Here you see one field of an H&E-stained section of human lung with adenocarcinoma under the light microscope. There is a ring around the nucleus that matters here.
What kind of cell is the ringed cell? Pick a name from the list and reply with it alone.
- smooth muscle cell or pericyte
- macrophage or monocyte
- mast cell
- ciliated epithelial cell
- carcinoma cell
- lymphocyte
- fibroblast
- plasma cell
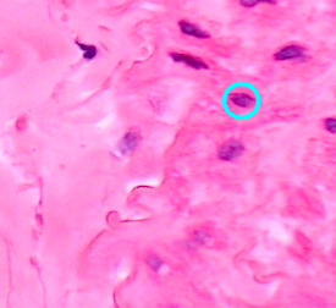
smooth muscle cell or pericyte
